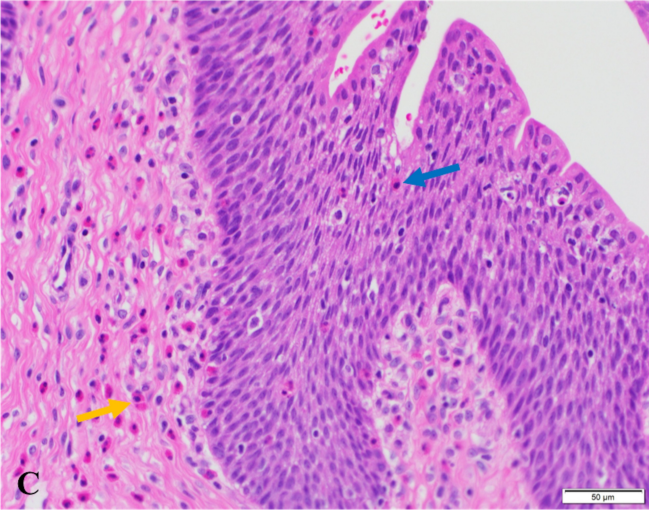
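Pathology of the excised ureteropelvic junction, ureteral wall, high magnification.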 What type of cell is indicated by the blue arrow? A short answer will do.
Eosinophils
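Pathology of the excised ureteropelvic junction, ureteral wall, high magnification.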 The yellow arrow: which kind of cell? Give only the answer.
Eosinophils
